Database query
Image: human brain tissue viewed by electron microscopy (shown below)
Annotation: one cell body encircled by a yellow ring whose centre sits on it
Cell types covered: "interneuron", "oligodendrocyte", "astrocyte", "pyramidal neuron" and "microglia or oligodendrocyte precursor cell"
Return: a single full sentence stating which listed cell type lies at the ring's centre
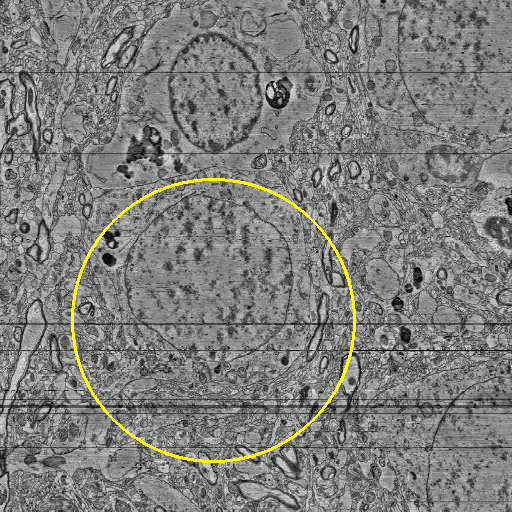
In the image, the cell lying at the ring's centre is a pyramidal neuron.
